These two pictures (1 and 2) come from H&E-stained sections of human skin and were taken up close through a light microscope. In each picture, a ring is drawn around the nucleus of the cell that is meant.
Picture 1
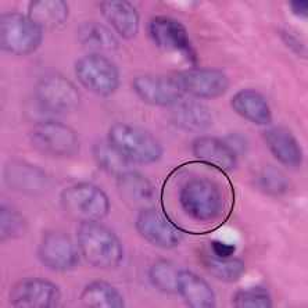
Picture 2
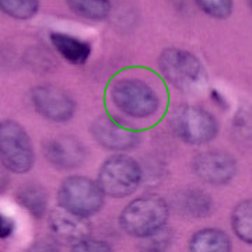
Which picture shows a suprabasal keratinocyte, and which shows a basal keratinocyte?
1: basal keratinocyte
2: suprabasal keratinocyte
